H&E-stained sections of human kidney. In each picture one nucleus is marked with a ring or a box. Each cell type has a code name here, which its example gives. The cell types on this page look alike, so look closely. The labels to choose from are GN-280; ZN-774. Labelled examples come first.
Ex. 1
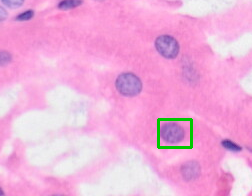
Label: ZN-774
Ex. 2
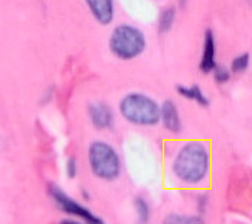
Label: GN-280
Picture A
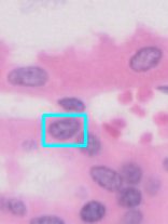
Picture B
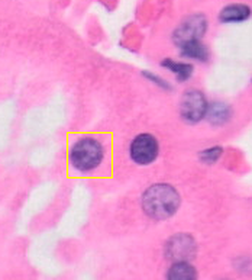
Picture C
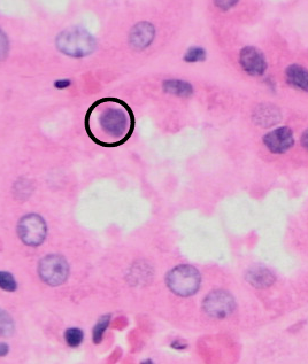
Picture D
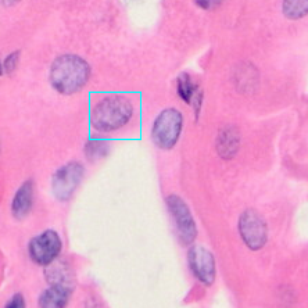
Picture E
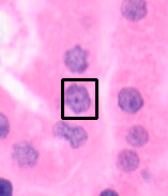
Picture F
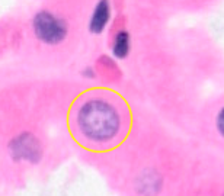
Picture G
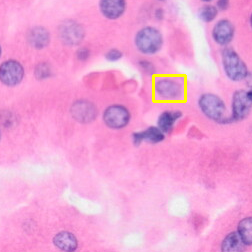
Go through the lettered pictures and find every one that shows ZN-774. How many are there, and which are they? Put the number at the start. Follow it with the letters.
Count: 4 (B, C, E, F)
